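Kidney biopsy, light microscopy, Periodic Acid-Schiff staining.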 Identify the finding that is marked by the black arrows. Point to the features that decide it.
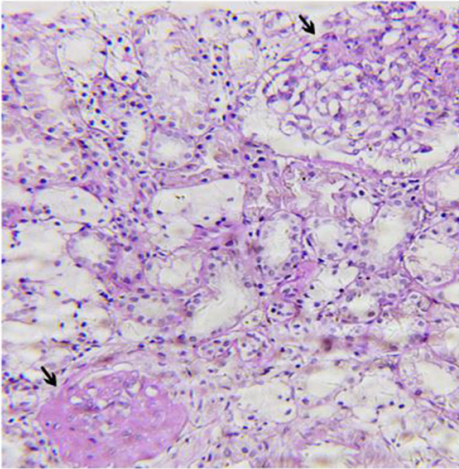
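The arrows point at rounded glomeruli amid tubules. The lower glomerulus is largely replaced by homogeneous pink matrix with few open capillary lumens. The answer: glomerulosclerosis.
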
